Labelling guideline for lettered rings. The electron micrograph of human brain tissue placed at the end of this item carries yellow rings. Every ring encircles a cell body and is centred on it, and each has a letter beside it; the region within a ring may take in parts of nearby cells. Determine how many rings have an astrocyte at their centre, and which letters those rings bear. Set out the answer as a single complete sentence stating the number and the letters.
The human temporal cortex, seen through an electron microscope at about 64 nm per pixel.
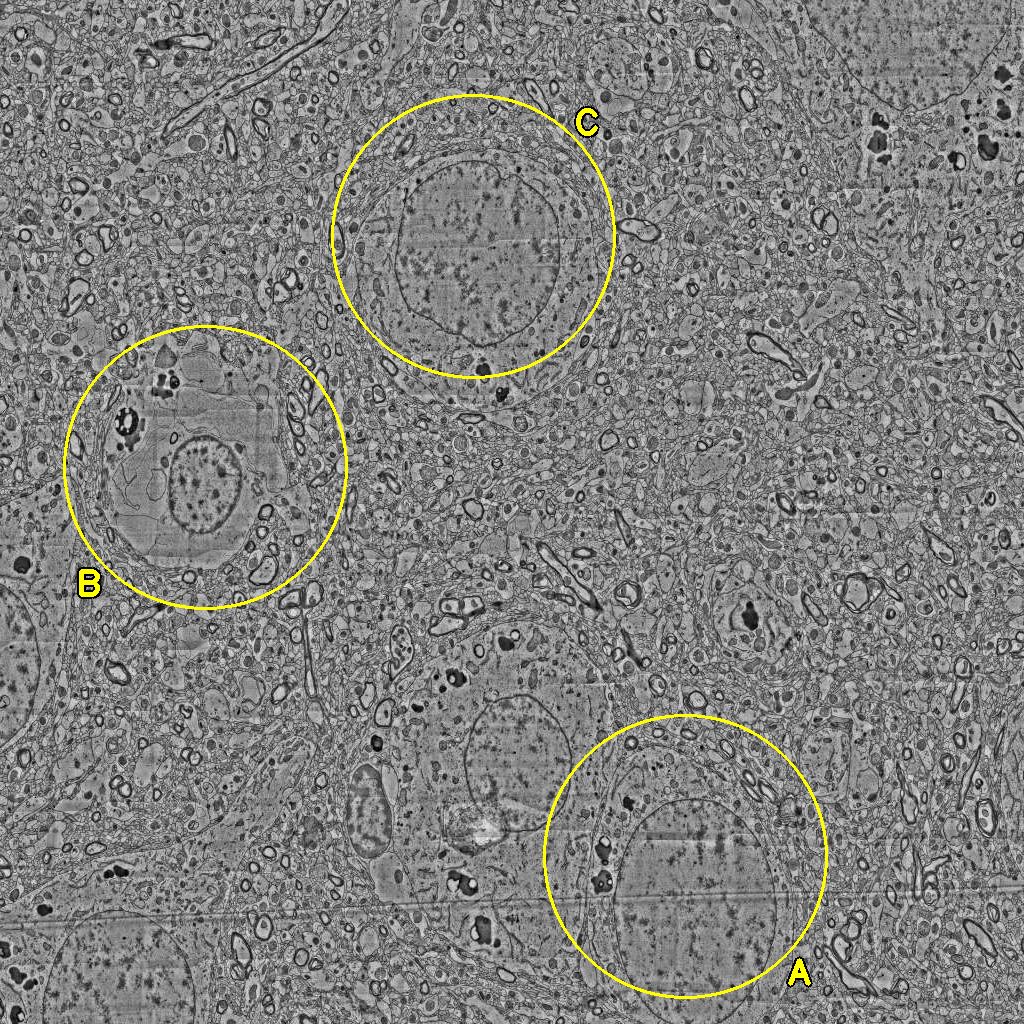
The ring lettered B is the single one among them centred on an astrocyte.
